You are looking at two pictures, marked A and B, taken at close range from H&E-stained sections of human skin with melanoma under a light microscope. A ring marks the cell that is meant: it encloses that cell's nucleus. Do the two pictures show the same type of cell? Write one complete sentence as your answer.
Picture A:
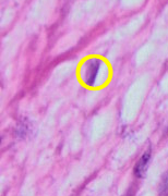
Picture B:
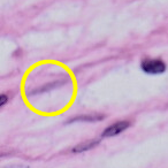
Yes, they are the same type: both are “fibroblasts or myofibroblasts”.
